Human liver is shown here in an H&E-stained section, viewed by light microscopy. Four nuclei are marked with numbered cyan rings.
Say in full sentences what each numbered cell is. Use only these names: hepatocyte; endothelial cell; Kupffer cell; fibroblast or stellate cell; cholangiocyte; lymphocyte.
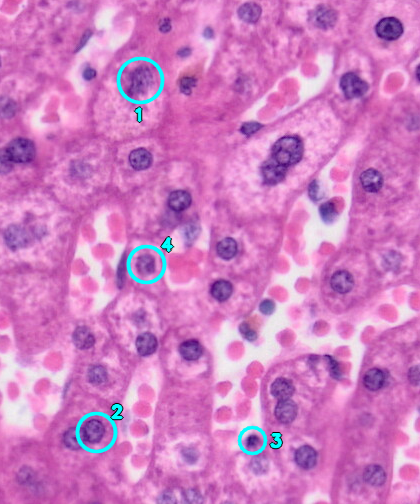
Cell 1 is a hepatocyte, cell 2 is a hepatocyte, cell 3 is a lymphocyte and cell 4 is a hepatocyte.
